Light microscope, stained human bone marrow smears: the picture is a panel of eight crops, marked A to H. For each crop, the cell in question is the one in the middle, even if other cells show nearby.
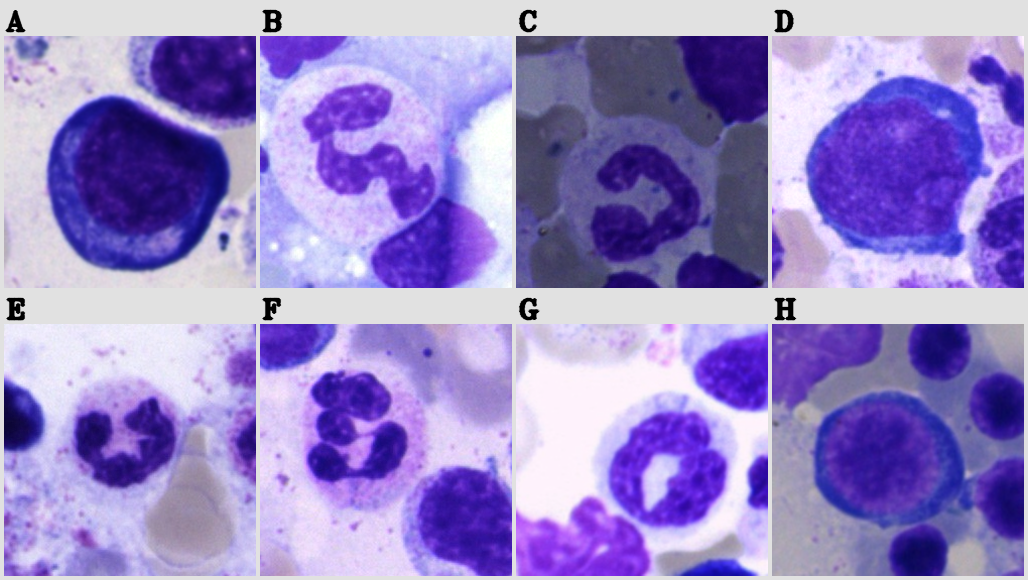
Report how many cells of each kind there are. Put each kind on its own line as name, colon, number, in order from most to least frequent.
segmented neutrophil: 5
proerythroblast: 3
